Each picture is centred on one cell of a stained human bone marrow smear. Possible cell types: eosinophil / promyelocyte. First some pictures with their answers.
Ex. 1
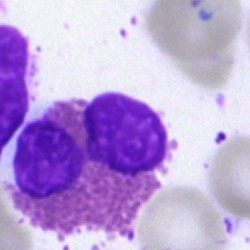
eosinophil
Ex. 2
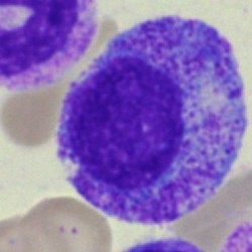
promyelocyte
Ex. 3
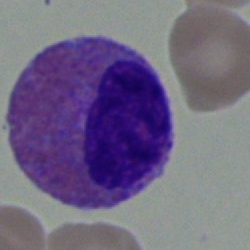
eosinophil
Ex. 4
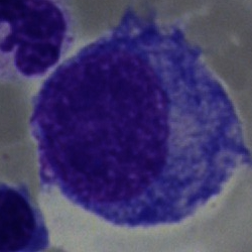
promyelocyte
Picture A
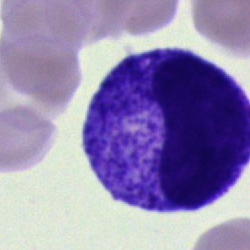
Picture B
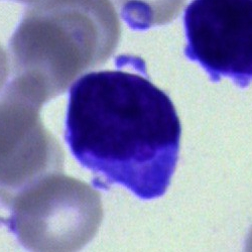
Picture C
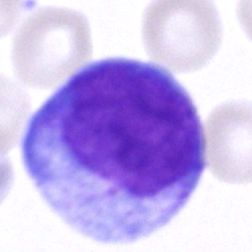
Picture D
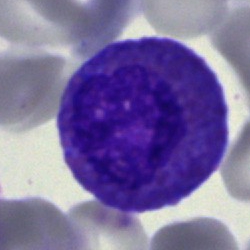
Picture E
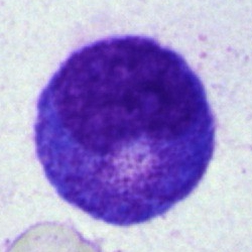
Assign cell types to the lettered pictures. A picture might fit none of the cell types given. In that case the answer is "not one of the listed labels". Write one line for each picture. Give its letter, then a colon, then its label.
A: promyelocyte
B: not one of the listed labels
C: promyelocyte
D: eosinophil
E: promyelocyte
